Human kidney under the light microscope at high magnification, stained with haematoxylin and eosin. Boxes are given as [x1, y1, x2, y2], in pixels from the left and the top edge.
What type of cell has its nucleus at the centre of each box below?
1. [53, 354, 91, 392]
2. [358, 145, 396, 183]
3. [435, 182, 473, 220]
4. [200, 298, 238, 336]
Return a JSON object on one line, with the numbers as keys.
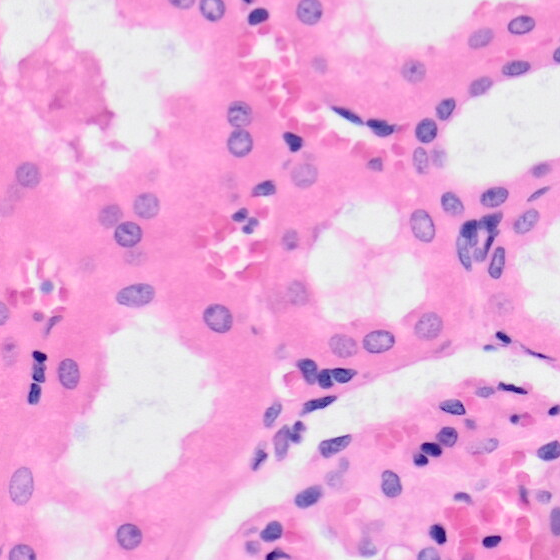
{"1": "proximal tubule cell", "2": "endothelial cell", "3": "collecting duct cell", "4": "proximal tubule cell"}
